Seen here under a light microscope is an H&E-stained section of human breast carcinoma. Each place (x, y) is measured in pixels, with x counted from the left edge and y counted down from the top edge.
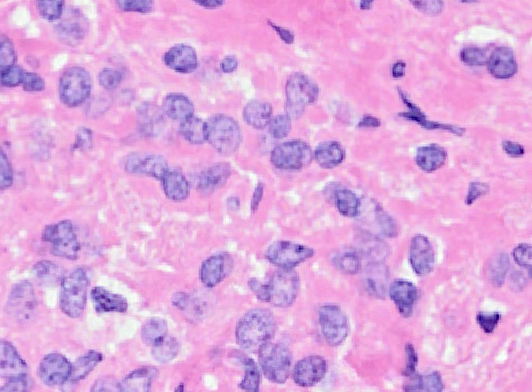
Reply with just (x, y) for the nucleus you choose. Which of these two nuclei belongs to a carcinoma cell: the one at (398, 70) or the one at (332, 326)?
(332, 326)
